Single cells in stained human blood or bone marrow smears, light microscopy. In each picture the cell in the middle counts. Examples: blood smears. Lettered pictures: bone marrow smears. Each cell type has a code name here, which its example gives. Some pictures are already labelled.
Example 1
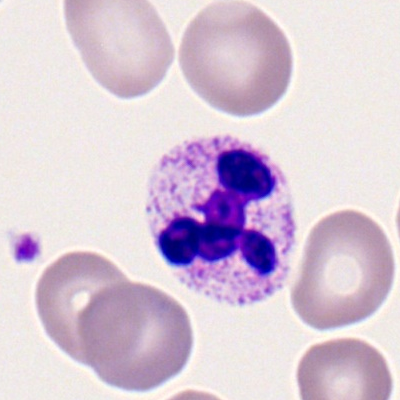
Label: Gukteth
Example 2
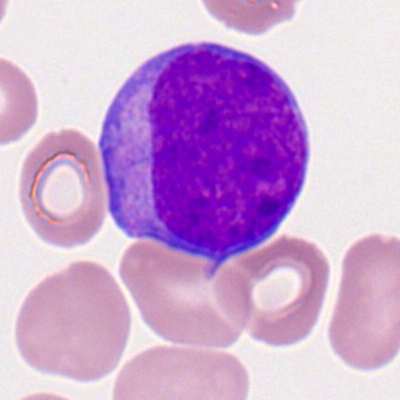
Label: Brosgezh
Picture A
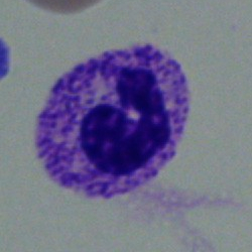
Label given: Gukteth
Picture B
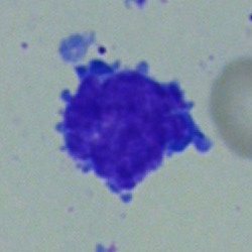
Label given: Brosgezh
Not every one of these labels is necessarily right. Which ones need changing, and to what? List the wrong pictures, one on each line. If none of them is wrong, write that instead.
All correct.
